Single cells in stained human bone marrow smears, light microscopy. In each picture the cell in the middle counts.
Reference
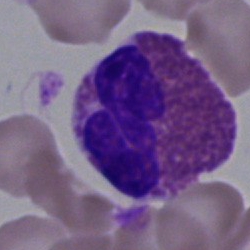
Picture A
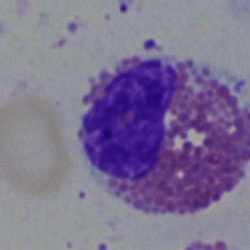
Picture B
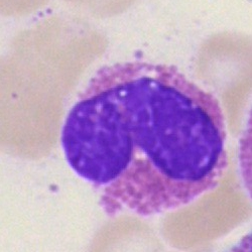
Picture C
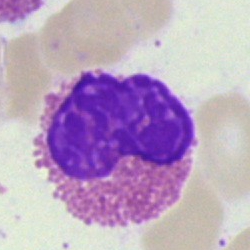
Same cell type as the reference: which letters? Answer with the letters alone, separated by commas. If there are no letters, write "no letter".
A, B, C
